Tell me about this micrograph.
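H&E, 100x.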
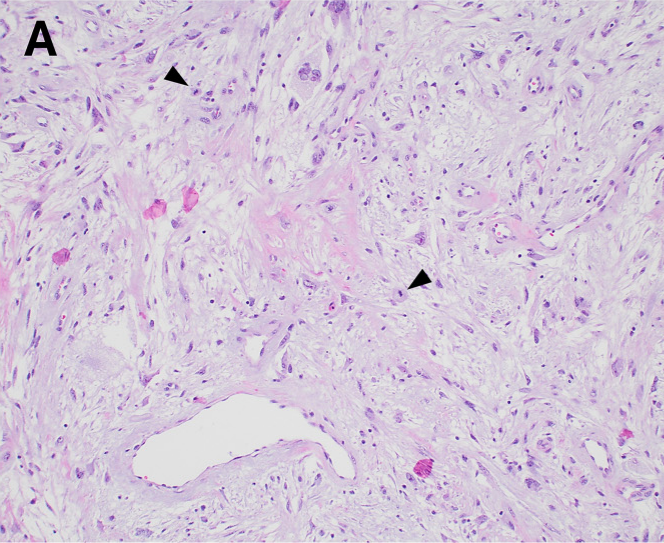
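This is a loose lesion of spindle-shaped and stellate cells set in a pale, wispy pink-to-lilac stroma. The nuclei are scattered singly and vary in size, with some larger and darker than the rest. Here and there a small, dark, condensed nucleus stands out as a dividing cell. A wide, thin-walled vessel runs across the lower part, and small clumps of red blood cells lie about the field.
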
